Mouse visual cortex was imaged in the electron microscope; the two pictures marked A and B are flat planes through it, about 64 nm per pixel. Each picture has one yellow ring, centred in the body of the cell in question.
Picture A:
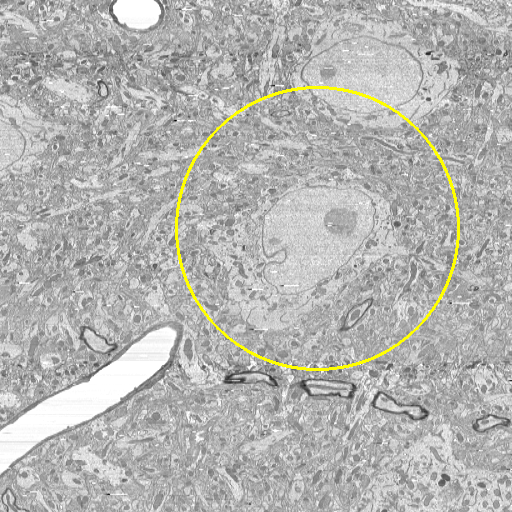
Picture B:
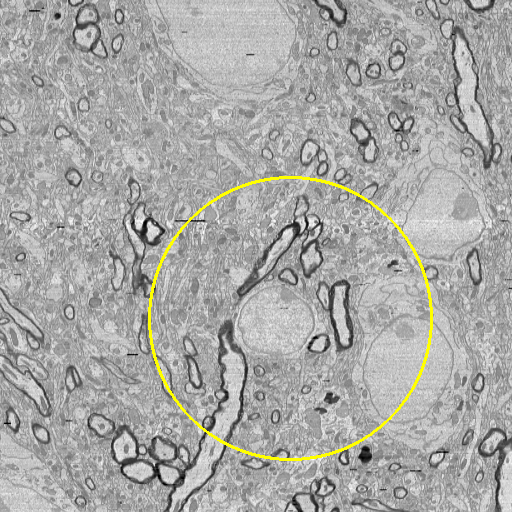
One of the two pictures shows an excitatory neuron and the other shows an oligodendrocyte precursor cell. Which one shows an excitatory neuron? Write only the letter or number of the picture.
A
